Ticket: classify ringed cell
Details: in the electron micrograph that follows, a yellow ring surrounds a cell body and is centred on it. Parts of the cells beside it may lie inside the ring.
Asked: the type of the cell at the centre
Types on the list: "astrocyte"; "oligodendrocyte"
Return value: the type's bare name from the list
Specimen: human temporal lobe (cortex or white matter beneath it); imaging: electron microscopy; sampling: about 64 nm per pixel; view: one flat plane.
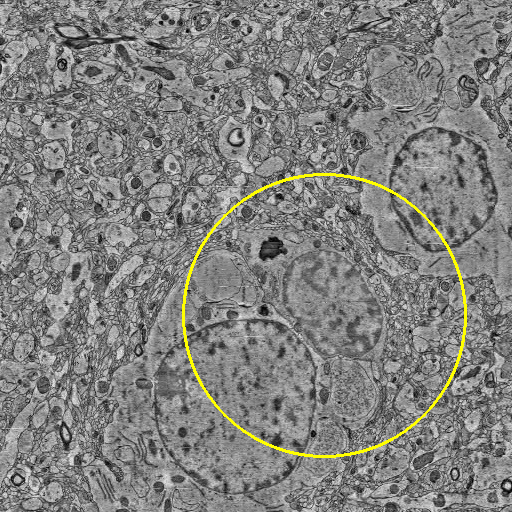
oligodendrocyte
